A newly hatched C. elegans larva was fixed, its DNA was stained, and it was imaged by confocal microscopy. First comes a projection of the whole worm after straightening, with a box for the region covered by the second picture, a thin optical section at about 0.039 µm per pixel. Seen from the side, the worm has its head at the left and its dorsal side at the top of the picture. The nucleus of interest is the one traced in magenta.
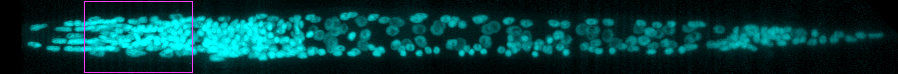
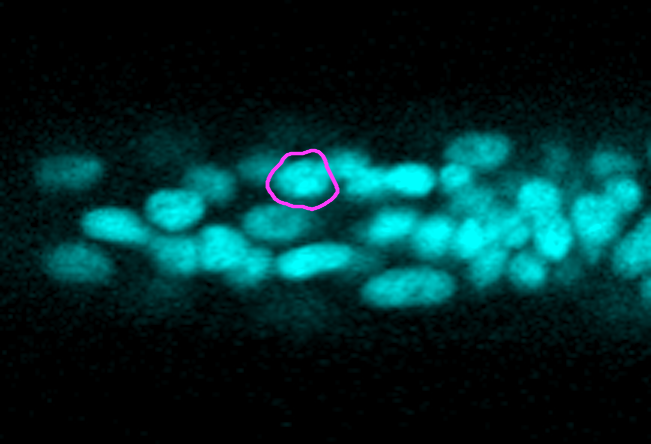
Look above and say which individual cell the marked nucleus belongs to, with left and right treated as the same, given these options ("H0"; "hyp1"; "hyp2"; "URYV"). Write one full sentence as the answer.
The marked nucleus belongs to hyp1, a hypodermal cell (hyp).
